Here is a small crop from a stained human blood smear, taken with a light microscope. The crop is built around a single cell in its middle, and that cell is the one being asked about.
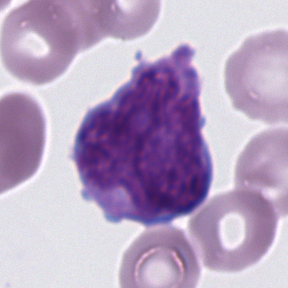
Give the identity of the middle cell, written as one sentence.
In the centre of this crop there is an atypical promyelocyte.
